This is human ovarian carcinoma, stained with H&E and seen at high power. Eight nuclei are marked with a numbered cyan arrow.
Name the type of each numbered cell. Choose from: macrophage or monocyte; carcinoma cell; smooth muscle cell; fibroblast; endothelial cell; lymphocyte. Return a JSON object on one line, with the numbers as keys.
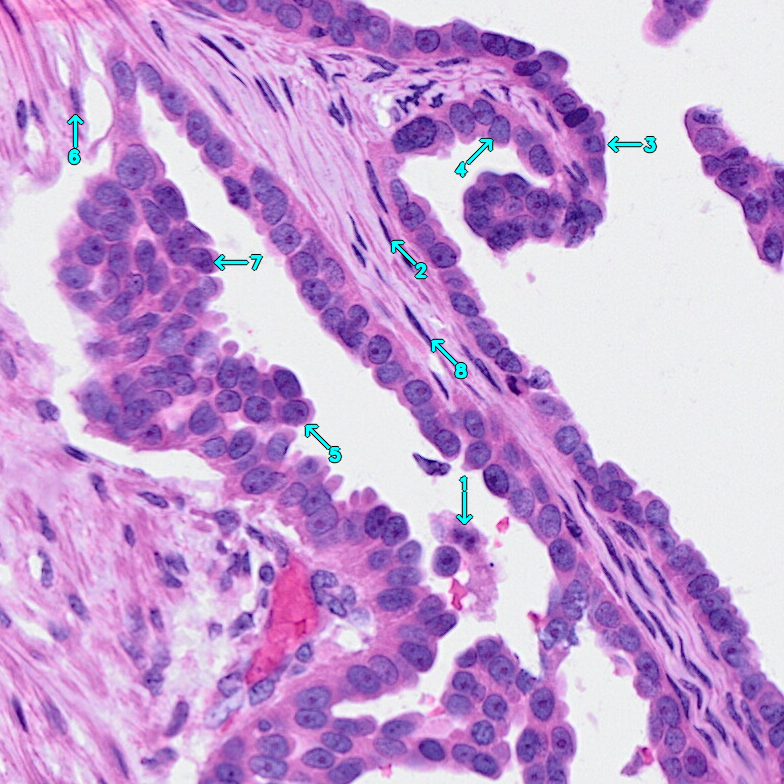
{"1": "macrophage or monocyte", "2": "fibroblast", "3": "carcinoma cell", "4": "carcinoma cell", "5": "carcinoma cell", "6": "fibroblast", "7": "carcinoma cell", "8": "fibroblast"}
